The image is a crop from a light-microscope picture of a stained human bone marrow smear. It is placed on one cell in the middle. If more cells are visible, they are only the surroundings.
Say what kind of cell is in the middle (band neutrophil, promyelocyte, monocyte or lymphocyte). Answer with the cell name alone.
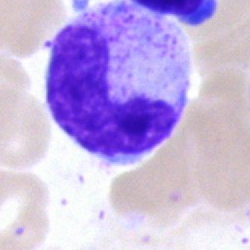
band neutrophil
